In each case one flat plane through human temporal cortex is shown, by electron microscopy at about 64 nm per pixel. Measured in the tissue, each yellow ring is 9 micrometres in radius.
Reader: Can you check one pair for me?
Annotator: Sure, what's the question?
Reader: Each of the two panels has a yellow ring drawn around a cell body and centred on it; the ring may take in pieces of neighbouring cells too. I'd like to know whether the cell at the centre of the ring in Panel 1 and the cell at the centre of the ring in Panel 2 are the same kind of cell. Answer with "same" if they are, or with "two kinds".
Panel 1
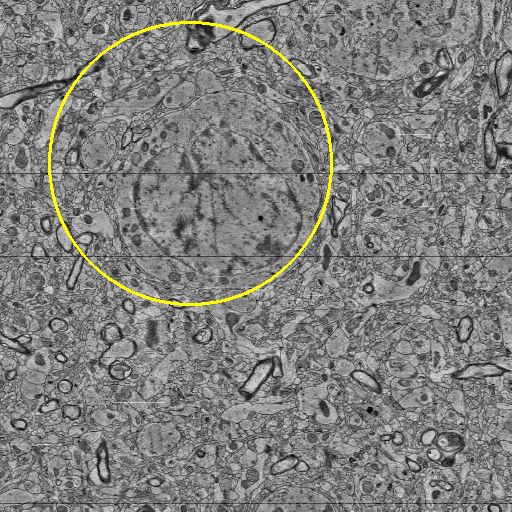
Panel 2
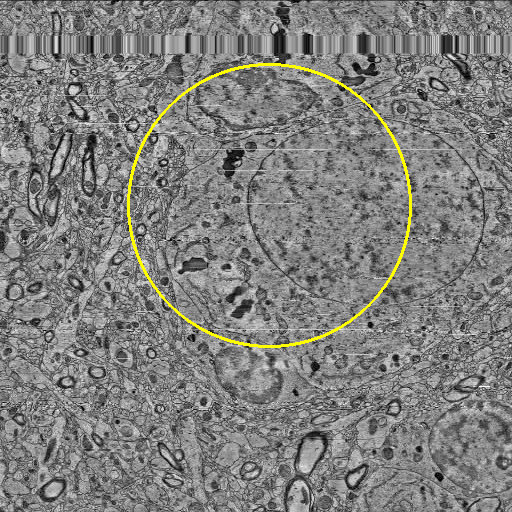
two kinds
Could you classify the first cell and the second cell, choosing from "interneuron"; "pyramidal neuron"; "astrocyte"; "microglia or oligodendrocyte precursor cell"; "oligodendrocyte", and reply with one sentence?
The second cell is a pyramidal neuron, while the first is an interneuron.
